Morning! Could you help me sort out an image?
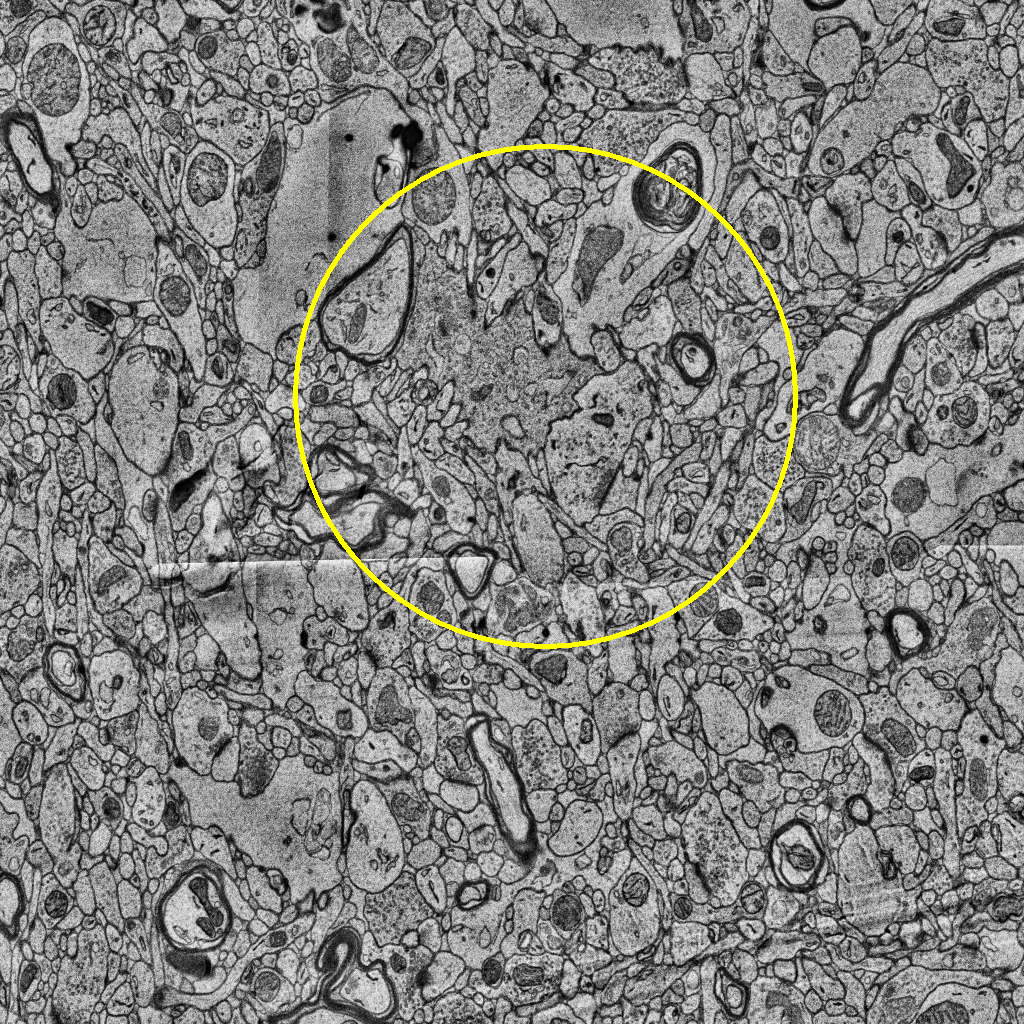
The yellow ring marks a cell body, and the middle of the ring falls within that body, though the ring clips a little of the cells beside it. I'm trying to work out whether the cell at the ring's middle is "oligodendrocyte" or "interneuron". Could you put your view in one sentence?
The cell body at the ring's middle is that of an oligodendrocyte.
